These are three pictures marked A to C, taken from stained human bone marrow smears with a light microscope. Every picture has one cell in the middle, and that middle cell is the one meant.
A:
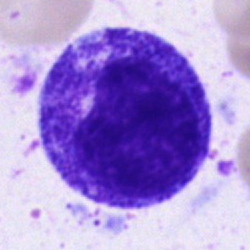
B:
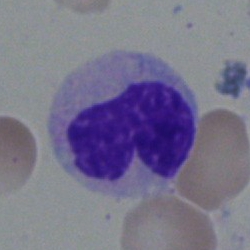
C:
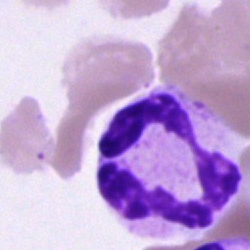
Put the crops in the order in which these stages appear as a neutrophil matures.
A, B, C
